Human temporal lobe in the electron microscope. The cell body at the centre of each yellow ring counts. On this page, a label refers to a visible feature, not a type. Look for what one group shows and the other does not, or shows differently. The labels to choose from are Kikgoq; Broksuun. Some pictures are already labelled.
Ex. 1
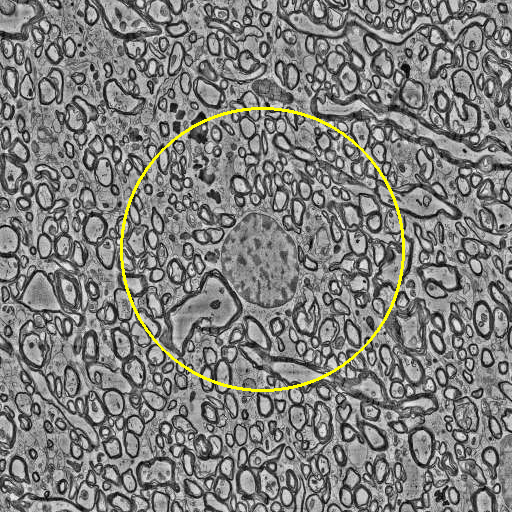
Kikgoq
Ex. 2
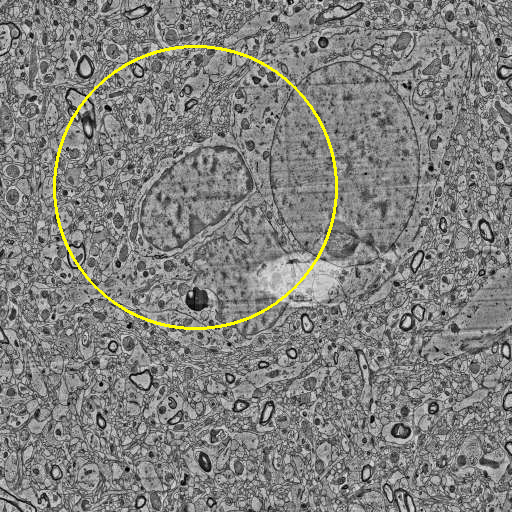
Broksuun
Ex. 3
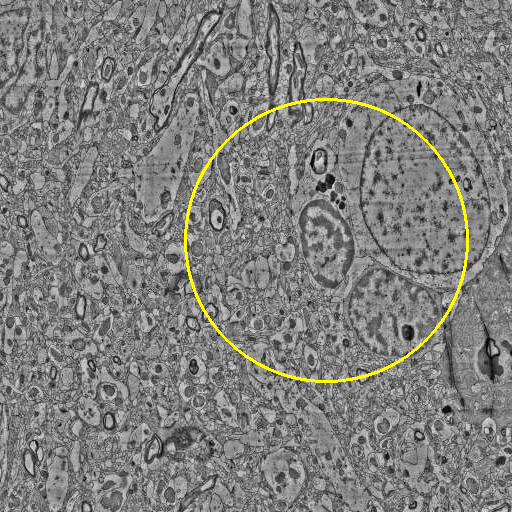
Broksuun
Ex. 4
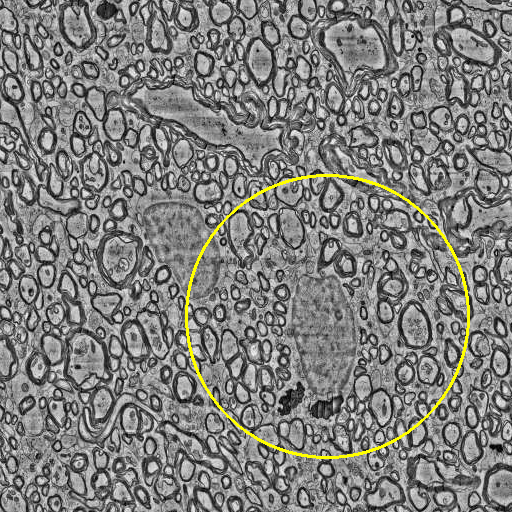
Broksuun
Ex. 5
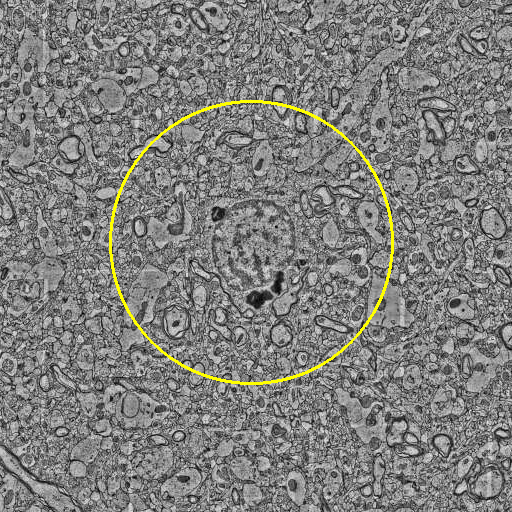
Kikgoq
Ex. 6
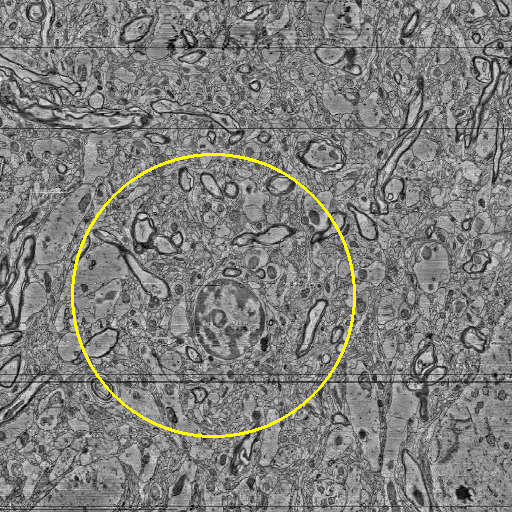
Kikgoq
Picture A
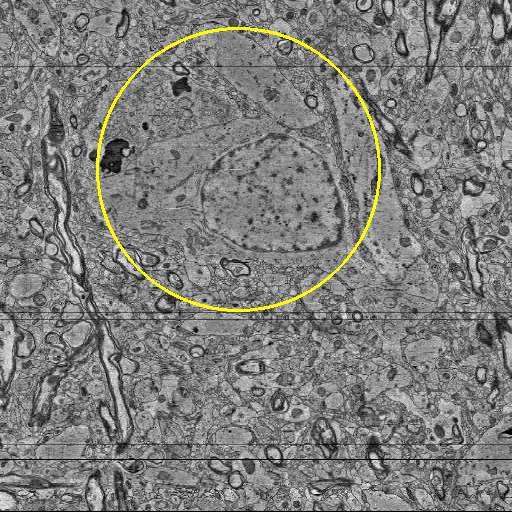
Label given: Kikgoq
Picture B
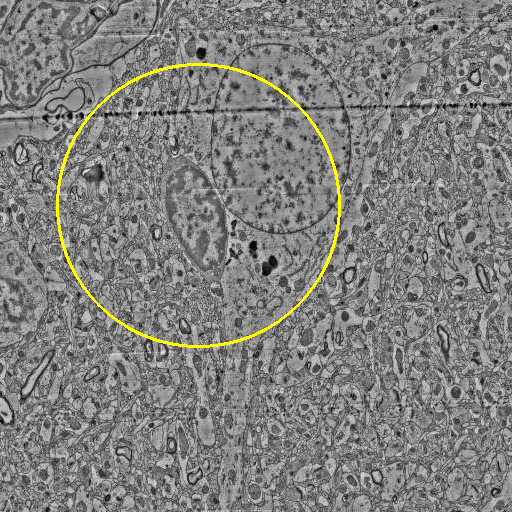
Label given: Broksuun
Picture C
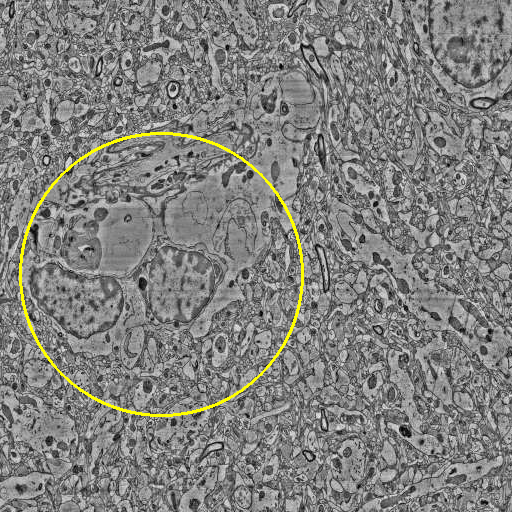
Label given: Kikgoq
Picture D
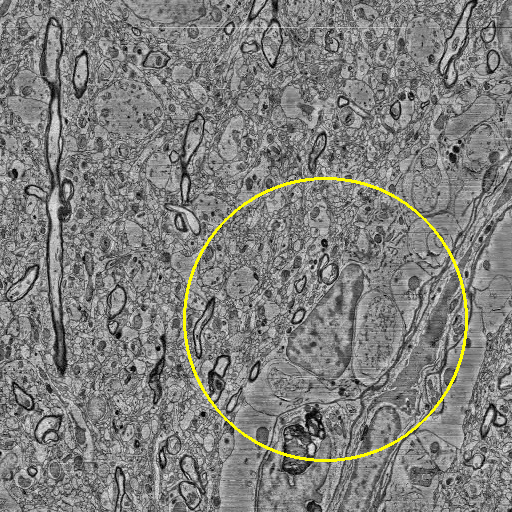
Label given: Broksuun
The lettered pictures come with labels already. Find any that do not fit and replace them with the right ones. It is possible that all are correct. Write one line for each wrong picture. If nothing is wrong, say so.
All correct.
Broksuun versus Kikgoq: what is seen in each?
Seen in Broksuun: clearly elongated nuclei; seen in Kikgoq: round or nearly round nuclei.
